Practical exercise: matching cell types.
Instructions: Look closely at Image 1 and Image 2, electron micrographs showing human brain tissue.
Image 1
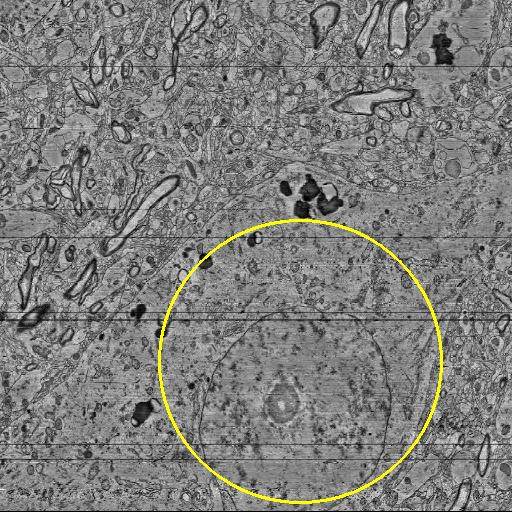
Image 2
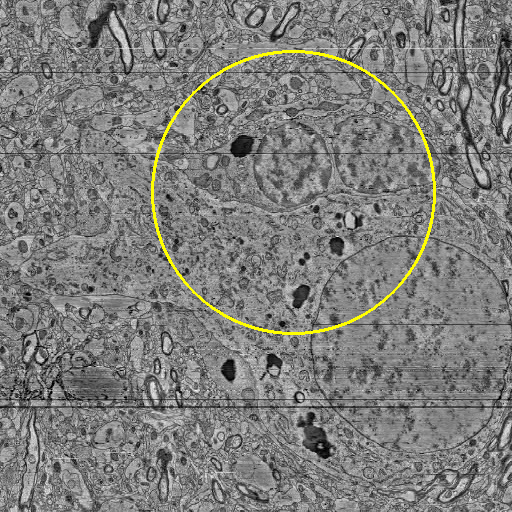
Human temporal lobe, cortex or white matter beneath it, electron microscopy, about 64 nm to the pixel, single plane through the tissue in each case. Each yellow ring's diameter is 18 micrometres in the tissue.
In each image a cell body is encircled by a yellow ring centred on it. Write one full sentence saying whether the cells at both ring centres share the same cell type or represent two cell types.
Across Image 1 and Image 2, the cells at the ring centres represent two cell types.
